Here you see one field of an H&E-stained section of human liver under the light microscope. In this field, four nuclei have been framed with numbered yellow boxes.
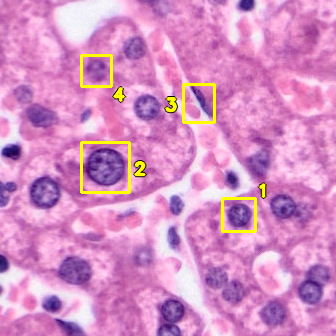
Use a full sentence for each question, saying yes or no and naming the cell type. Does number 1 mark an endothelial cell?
No, cell number 1 is identified as a hepatocyte, not as an endothelial cell.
